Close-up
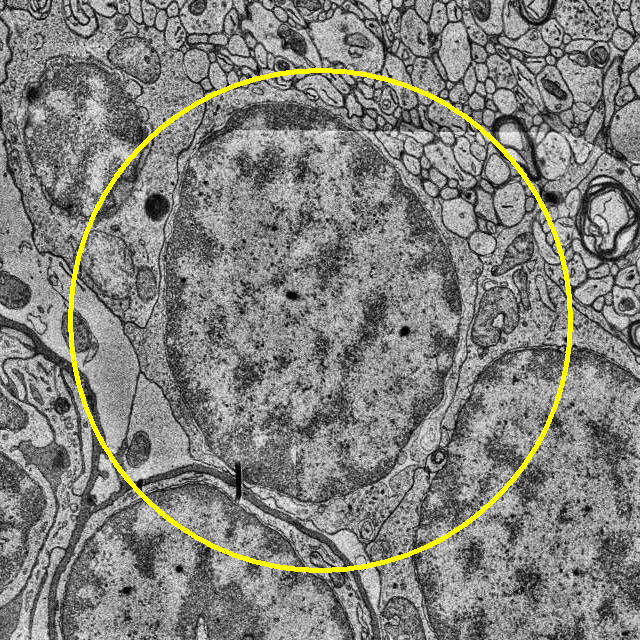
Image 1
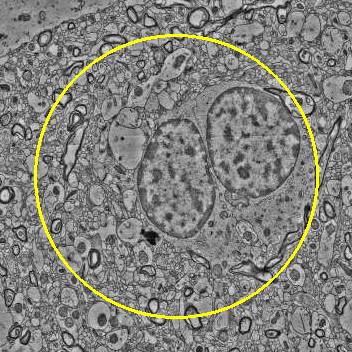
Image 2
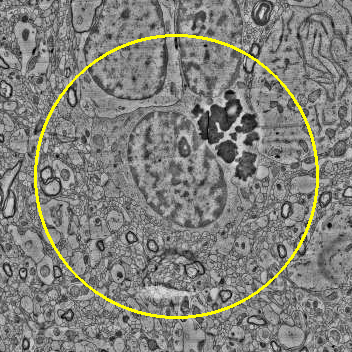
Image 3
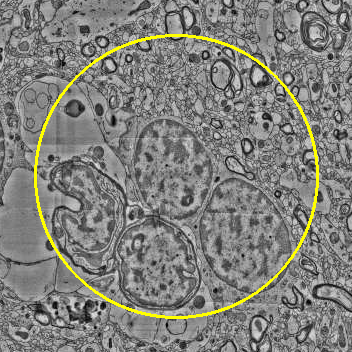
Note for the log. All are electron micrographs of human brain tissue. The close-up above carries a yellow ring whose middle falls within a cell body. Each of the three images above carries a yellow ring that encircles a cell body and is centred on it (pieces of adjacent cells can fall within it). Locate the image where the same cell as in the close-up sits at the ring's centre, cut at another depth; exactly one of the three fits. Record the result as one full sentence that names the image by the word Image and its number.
The cell of the close-up is the one in Image 3.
